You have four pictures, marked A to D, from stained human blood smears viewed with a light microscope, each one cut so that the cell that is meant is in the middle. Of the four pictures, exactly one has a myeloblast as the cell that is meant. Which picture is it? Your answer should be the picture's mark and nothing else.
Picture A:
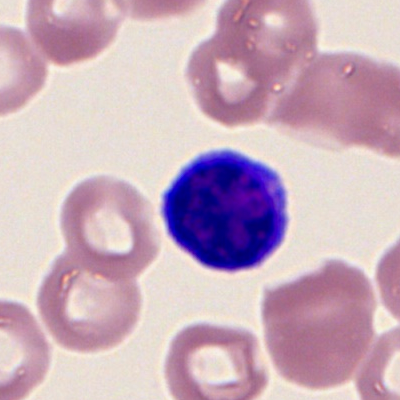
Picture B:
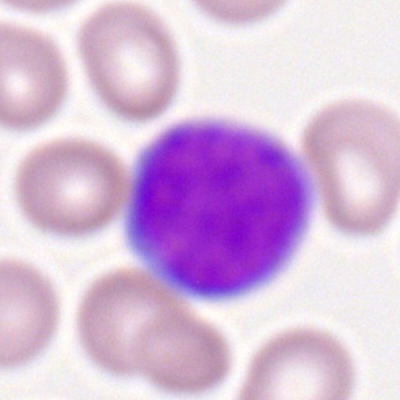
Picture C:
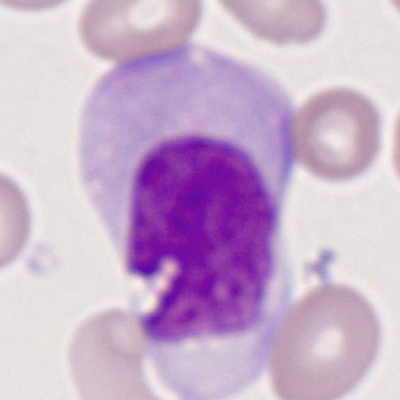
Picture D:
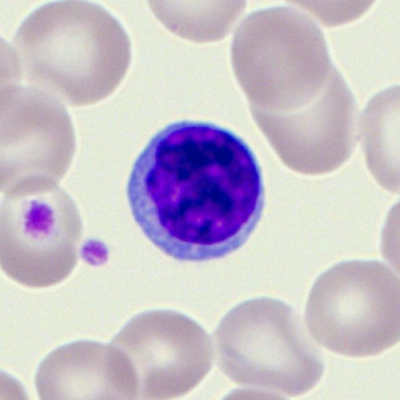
B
